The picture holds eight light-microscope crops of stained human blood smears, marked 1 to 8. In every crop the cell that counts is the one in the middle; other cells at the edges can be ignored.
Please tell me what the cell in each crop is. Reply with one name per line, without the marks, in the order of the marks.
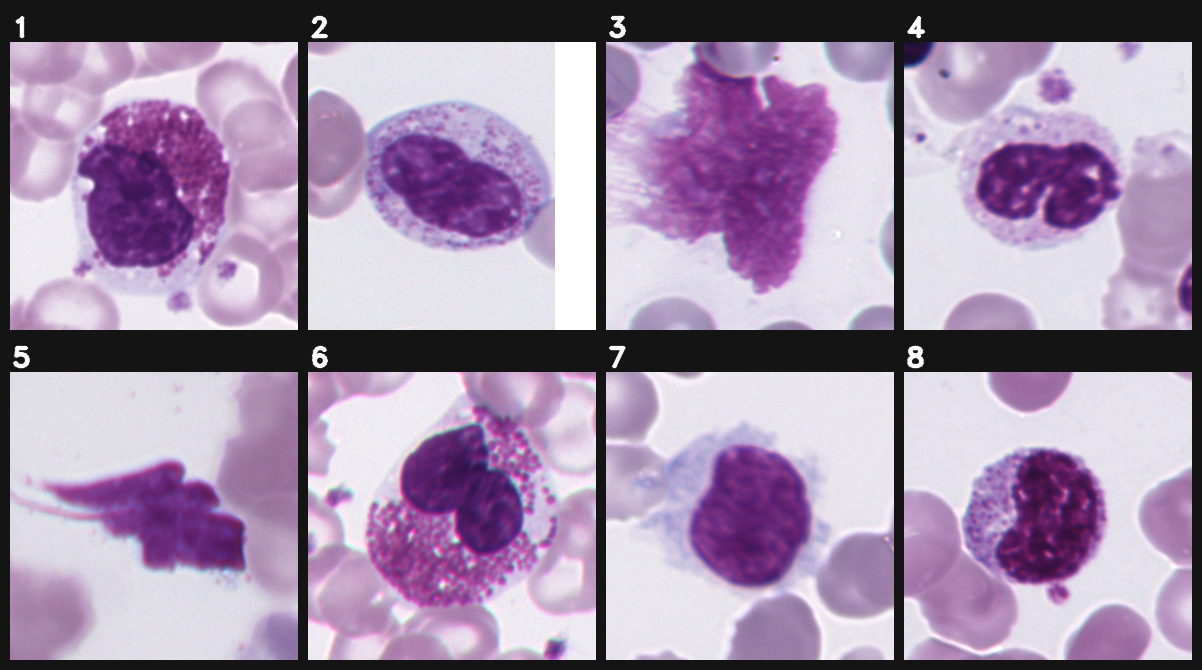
eosinophil
metamyelocyte
smudge cell
band neutrophil
smudge cell
eosinophil
hairy cell
metamyelocyte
